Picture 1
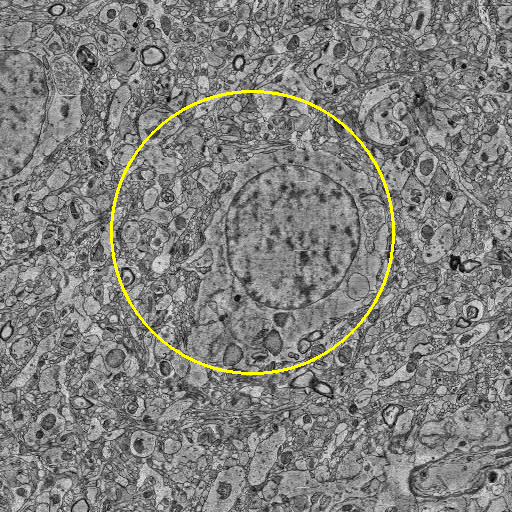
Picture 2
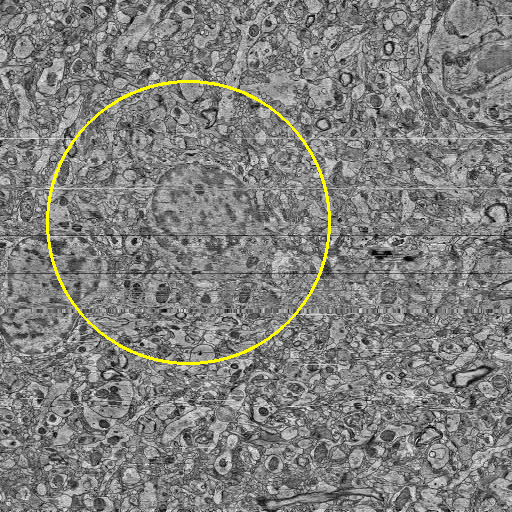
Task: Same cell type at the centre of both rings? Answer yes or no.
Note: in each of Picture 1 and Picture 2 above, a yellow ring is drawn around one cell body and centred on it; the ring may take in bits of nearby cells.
no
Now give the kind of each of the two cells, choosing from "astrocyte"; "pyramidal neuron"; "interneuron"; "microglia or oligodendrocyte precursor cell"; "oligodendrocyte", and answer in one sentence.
The cell in the first picture is an astrocyte, and the cell in the second is an oligodendrocyte.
